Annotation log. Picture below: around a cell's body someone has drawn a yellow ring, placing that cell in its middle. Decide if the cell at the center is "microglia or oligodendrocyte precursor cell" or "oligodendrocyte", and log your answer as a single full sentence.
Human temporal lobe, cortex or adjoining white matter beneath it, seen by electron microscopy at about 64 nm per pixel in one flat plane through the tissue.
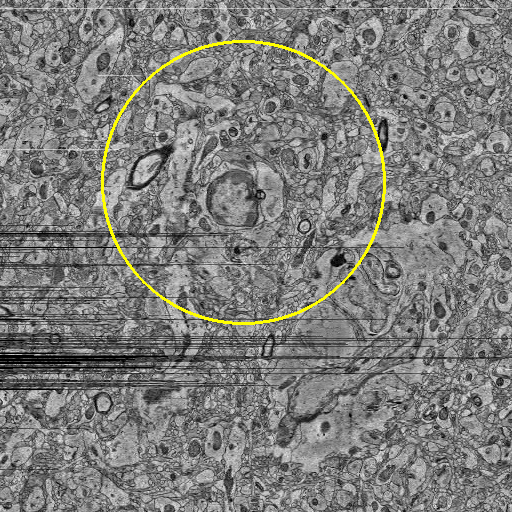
My entry records a microglial cell or oligodendrocyte precursor cell as the cell sitting at the center of the yellow ring.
